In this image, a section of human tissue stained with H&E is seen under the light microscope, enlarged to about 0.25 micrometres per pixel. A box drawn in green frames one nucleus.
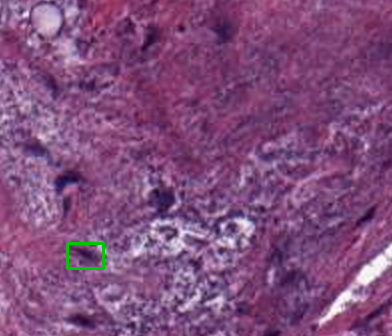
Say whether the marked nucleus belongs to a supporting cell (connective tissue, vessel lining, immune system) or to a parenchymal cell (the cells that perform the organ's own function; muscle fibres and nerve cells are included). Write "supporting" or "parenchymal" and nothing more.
supporting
